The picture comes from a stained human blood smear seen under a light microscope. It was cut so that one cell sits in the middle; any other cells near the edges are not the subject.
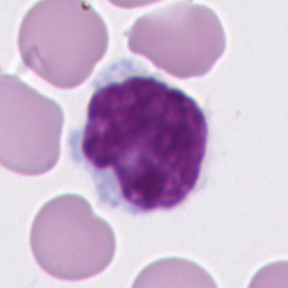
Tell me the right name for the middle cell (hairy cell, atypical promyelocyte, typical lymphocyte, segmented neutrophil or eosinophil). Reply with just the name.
hairy cell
